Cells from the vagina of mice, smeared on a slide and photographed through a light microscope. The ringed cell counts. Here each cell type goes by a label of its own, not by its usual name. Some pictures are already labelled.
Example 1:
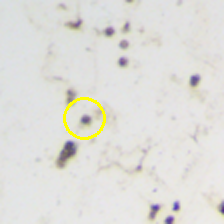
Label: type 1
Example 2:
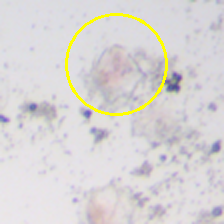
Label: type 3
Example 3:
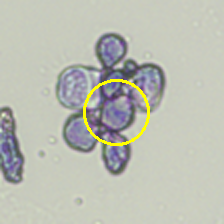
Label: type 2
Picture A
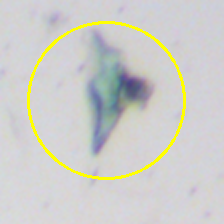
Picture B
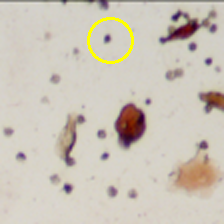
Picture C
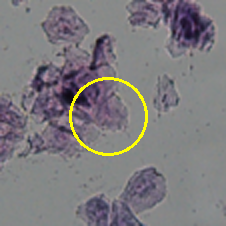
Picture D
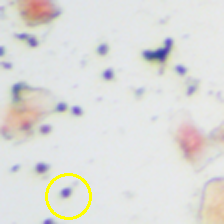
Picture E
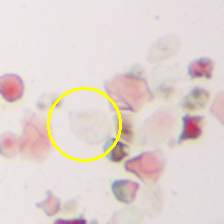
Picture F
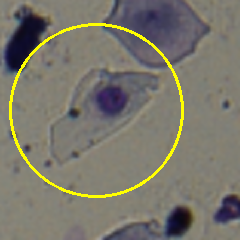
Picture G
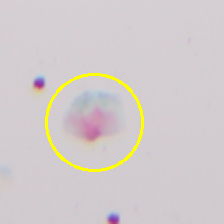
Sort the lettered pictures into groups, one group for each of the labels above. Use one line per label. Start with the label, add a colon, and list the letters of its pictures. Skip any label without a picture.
type 1: B, D
type 3: A, C, E
type 2: F, G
